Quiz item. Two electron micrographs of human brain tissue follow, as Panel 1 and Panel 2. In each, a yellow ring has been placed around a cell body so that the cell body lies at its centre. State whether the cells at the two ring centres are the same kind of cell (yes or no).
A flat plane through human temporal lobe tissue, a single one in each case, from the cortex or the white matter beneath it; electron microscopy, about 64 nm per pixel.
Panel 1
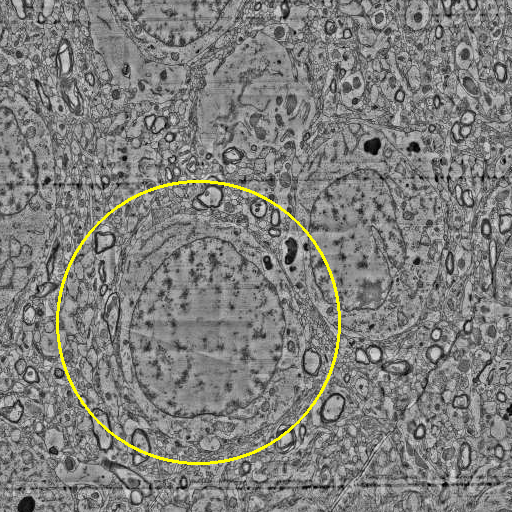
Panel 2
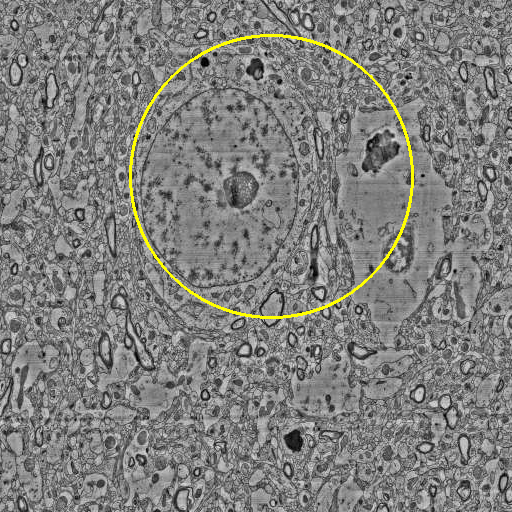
yes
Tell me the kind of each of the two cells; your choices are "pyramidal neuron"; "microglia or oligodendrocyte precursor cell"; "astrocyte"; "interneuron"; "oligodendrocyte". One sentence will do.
Each of the two cells is a pyramidal neuron.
